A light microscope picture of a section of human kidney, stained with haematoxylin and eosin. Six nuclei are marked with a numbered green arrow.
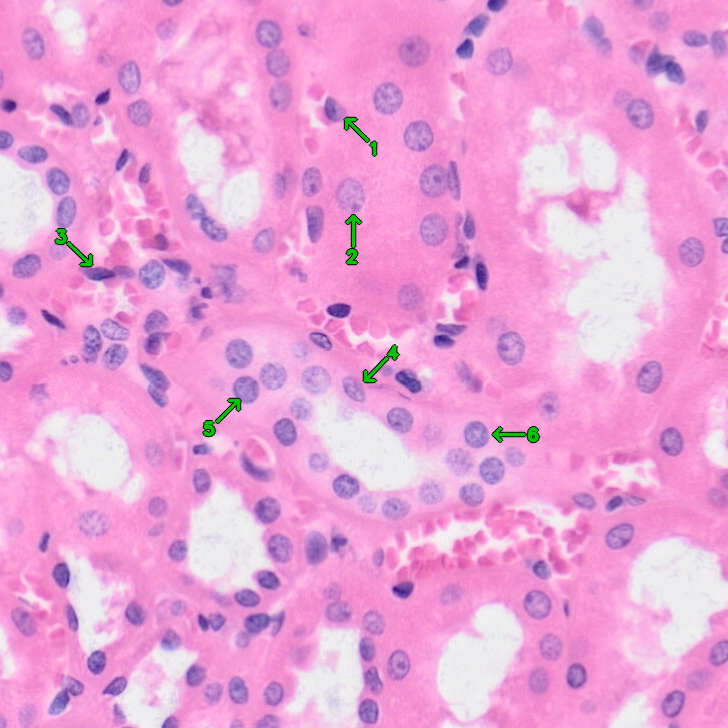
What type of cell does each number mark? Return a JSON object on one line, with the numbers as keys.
{"1": "endothelial cell", "2": "proximal tubule cell", "3": "endothelial cell", "4": "collecting duct cell", "5": "collecting duct cell", "6": "collecting duct cell"}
